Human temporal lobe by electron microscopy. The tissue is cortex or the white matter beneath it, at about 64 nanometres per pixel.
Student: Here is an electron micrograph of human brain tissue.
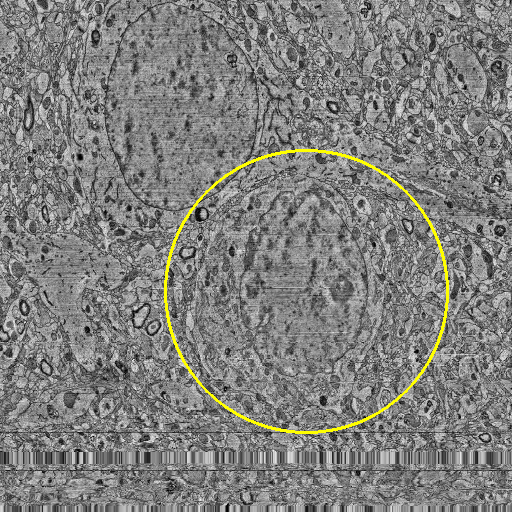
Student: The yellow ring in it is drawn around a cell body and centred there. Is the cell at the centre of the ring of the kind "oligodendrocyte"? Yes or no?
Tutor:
no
